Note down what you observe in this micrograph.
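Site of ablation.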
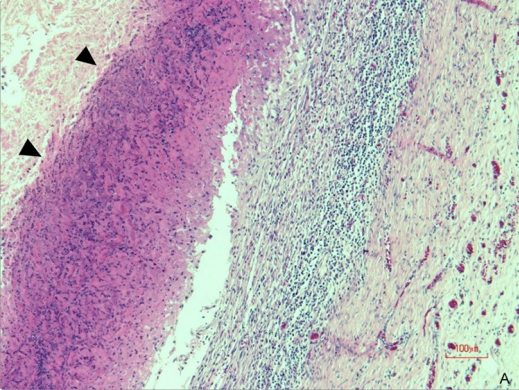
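This section shows necrosis at the left side, bordered by a deeply purple-staining band and, to the right, loose and fibrous tissue. At the far left lies a pale pink zone with hardly any recognisable nuclei. Next to it runs a broad, densely cellular band that stains strongly purple-pink. A narrow empty cleft separates this band from looser tissue to its right, which holds a streak of crowded small dark nuclei. Further right the tissue is pinker and fibrous, with small vessels containing red blood cells.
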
